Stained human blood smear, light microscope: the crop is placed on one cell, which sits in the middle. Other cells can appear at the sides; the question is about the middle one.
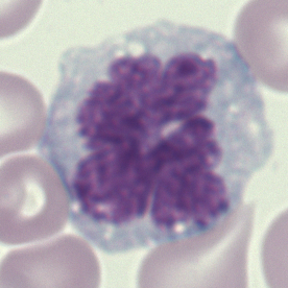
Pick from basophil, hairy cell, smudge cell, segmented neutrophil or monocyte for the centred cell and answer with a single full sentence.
By type, the central cell of the crop is a monocyte.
